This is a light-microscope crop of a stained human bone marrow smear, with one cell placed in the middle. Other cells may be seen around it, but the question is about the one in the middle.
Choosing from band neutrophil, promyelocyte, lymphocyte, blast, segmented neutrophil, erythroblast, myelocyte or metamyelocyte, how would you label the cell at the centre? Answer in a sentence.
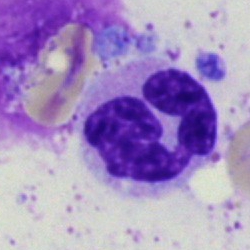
The cell sitting right in the middle is a segmented neutrophil.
